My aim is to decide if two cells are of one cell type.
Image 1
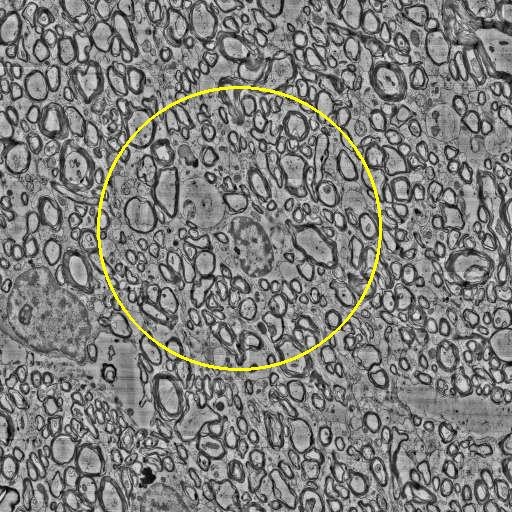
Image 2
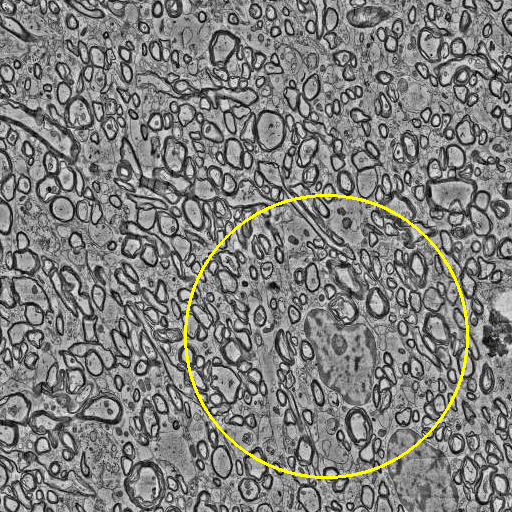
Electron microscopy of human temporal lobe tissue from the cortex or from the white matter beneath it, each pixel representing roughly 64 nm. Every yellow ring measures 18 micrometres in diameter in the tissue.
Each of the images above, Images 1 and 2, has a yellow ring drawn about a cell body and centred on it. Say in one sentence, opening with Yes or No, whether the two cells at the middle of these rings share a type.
Yes, in Images 1 and 2 the cells at the middle of the rings share one type.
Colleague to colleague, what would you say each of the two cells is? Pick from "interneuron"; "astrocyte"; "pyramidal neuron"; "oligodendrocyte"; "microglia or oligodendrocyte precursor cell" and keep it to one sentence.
In each picture the ringed cell is a microglial cell or oligodendrocyte precursor cell.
